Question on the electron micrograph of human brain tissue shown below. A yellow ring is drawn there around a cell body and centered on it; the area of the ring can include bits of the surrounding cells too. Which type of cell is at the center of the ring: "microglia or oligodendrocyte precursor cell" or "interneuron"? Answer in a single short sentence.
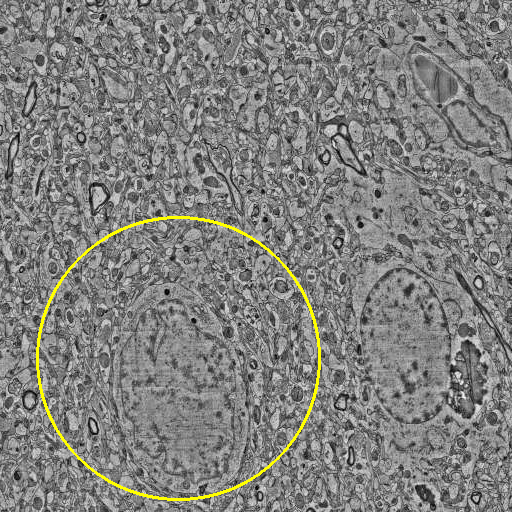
The ring is centered on an interneuron.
